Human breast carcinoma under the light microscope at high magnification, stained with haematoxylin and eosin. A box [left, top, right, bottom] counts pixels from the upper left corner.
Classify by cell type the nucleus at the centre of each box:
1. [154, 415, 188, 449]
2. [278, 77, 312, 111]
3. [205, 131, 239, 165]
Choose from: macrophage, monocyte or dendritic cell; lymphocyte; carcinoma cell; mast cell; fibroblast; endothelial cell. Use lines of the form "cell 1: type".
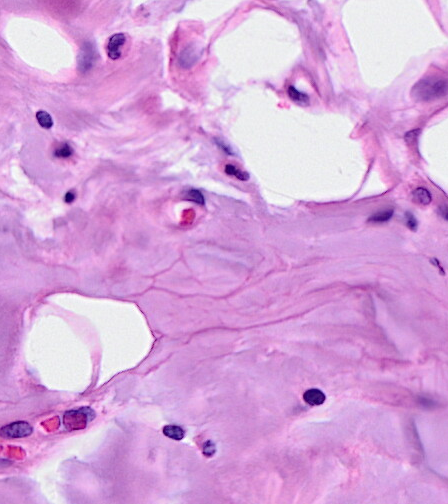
cell 1: lymphocyte
cell 2: endothelial cell
cell 3: fibroblast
